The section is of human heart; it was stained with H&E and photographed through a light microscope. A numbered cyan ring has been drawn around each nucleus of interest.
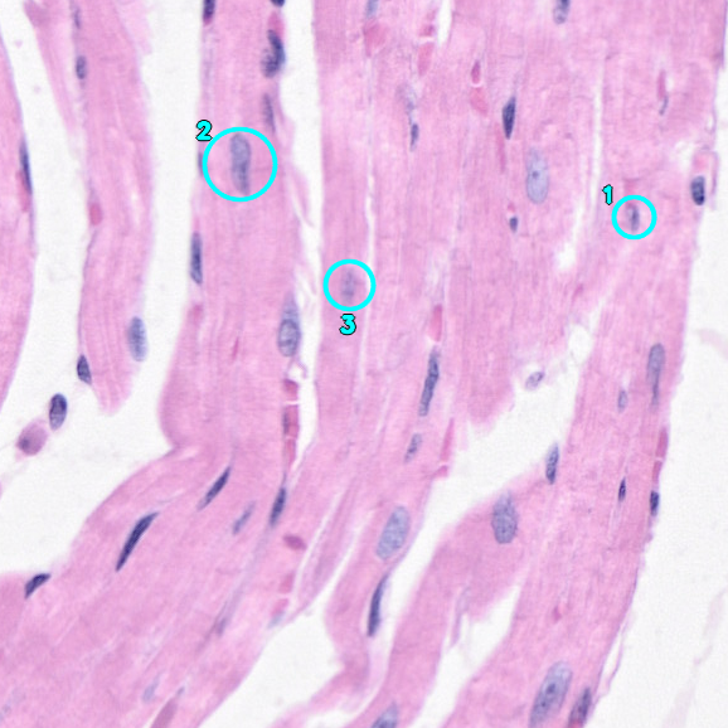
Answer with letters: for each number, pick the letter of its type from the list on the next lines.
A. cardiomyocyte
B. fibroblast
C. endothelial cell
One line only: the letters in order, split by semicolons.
C; A; A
